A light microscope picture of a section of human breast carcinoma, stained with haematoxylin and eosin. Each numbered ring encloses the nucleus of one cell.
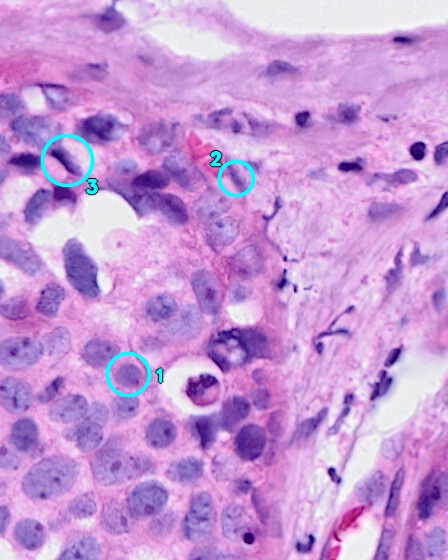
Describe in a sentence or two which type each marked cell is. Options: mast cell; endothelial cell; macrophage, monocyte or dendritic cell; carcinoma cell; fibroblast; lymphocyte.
Cells 1 and 3 are carcinoma cells. Cell 2 is an endothelial cell.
